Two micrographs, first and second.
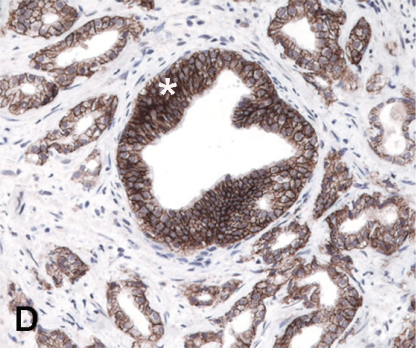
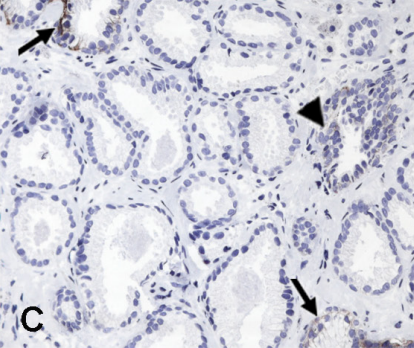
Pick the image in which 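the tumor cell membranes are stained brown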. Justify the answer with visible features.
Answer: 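First image: tumor glands show strong brown outlines around every cell. Second image: tumor glands are blue with no brown membrane outlines. That points to this answer: the first image.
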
